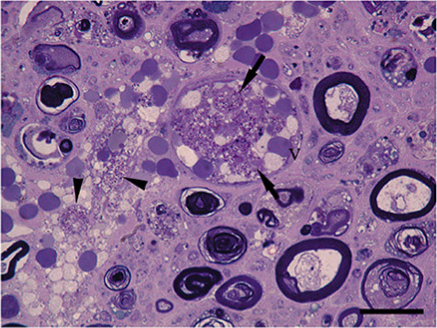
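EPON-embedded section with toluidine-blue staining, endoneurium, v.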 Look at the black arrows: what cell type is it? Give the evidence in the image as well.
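The arrows mark a vessel filled with cells carrying many coarse granules. The granular cells fill the vessel lumen. So: eosinophils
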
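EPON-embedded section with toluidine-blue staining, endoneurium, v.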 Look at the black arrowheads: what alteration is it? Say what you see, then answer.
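The arrowheads mark granular cells lying outside the vessel wall. These cells lie among nerve fibres. On this evidence: Infiltration of eosinophils into the extravascular space.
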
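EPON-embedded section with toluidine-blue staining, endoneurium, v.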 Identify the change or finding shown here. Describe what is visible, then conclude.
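Several myelinated fibres show collapsed or fragmented myelin rings. Some fibres contain vacuolated or debris-filled axoplasm.
Active axonal degeneration of myelinated nerve fibers.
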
